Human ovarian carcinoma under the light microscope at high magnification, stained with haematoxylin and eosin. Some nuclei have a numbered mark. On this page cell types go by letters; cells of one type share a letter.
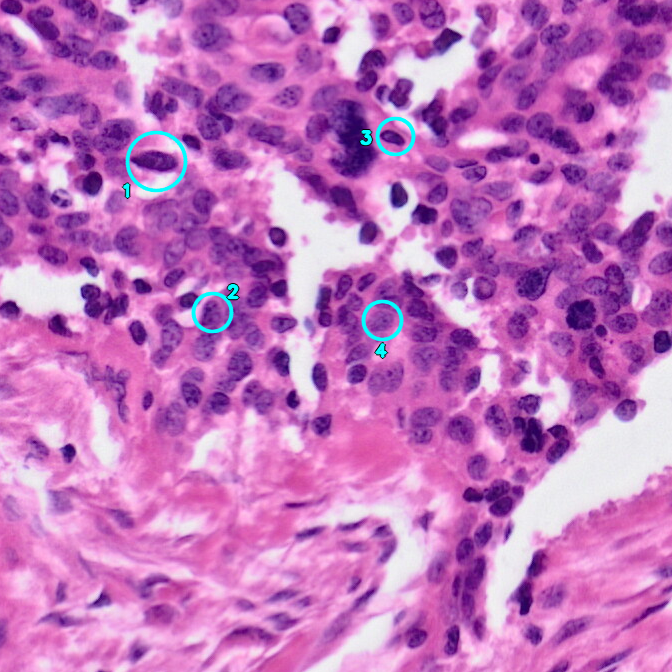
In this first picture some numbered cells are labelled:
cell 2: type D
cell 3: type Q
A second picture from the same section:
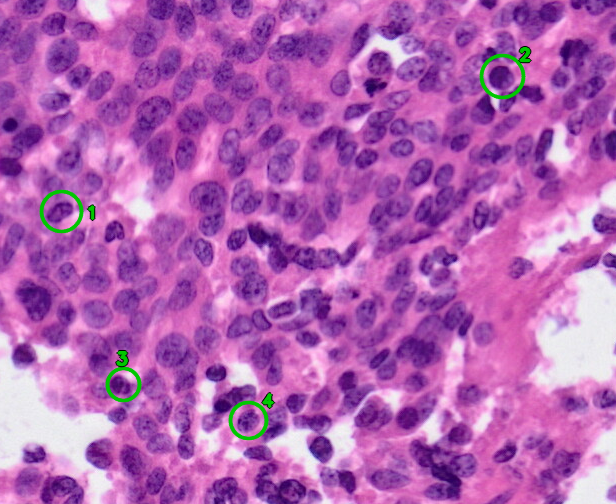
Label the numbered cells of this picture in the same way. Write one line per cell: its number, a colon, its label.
1: type D
2: type D
3: type D
4: type Q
